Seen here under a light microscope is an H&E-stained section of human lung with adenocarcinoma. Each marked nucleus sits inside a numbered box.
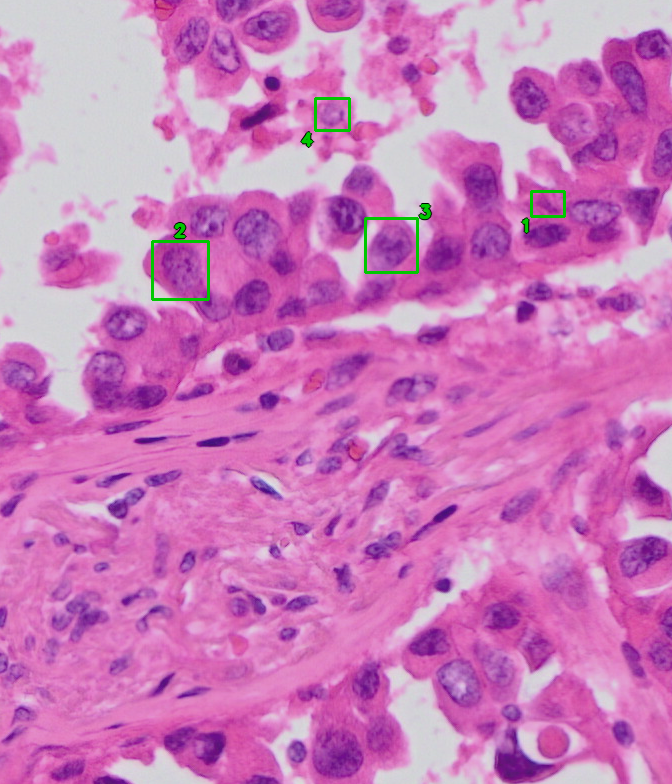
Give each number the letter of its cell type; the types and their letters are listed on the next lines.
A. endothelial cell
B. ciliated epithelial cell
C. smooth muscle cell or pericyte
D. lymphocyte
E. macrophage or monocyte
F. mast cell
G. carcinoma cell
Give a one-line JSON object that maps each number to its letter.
{"1": "G", "2": "G", "3": "G", "4": "E"}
